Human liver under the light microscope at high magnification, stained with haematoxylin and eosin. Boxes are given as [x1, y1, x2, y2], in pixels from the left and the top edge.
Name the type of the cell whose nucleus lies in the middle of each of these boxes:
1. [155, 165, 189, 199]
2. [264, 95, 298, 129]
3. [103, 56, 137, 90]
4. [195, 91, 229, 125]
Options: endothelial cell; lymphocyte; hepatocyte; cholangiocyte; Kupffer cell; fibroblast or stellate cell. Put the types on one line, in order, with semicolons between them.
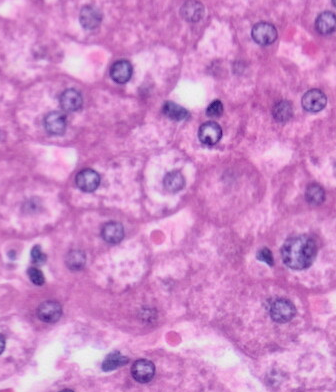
hepatocyte; hepatocyte; hepatocyte; fibroblast or stellate cell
